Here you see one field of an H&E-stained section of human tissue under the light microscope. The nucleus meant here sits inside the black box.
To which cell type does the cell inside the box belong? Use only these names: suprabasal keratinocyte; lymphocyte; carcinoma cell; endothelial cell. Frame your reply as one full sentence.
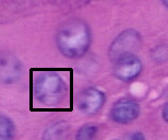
By cell type, the cell inside the box is a suprabasal keratinocyte.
